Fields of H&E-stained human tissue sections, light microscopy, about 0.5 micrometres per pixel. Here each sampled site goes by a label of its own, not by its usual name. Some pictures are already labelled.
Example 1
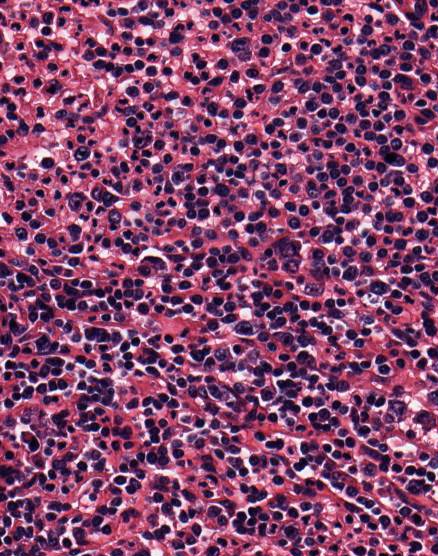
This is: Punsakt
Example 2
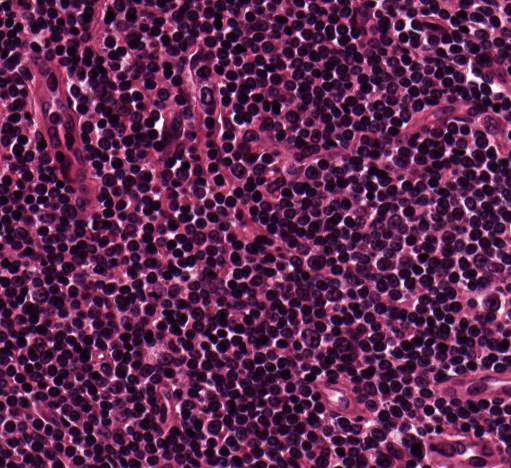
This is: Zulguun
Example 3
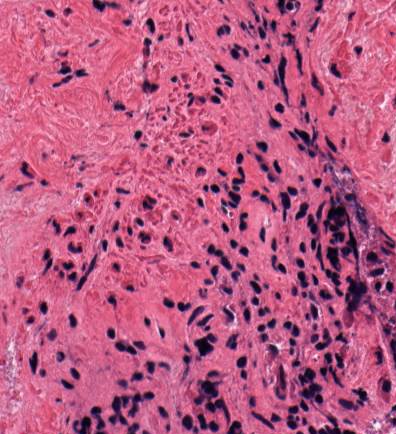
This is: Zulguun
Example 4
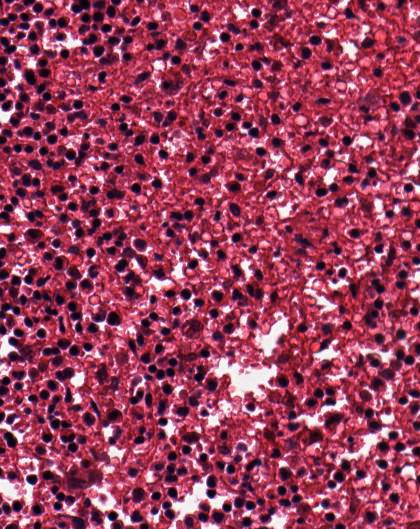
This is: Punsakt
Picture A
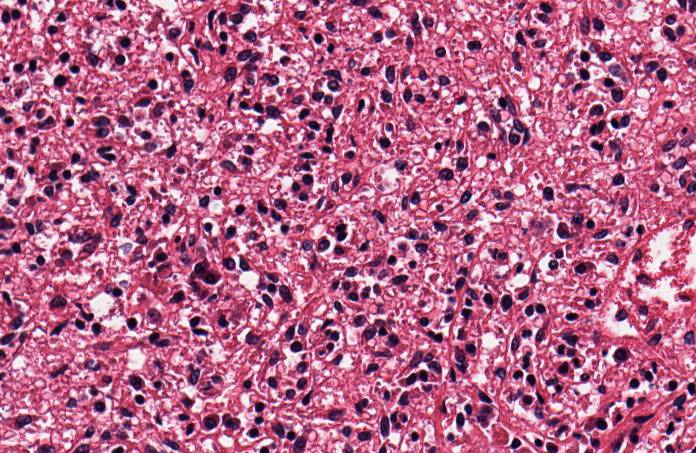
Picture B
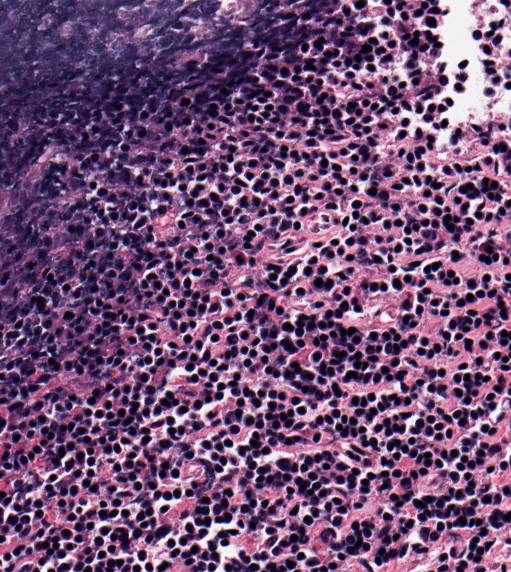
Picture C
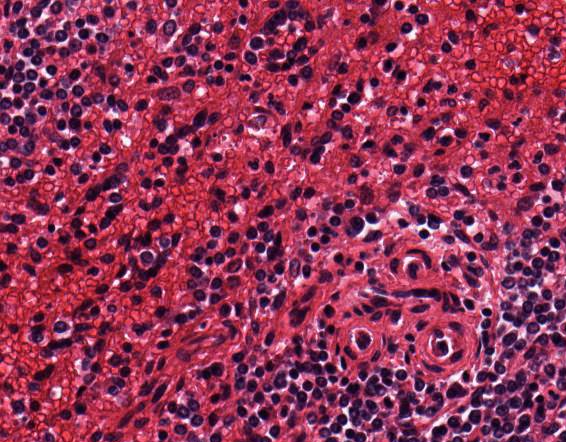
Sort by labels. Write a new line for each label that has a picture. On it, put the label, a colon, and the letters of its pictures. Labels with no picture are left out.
Punsakt: A, C
Zulguun: B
